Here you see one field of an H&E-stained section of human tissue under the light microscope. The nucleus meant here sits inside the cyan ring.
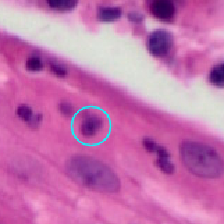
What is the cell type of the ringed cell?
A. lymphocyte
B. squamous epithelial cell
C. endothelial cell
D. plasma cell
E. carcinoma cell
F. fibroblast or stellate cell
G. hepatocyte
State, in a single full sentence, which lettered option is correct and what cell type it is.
Option B is the right one; the ringed cell is a squamous epithelial cell.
